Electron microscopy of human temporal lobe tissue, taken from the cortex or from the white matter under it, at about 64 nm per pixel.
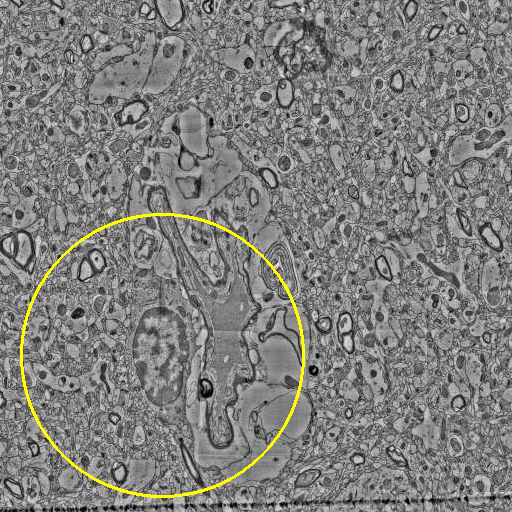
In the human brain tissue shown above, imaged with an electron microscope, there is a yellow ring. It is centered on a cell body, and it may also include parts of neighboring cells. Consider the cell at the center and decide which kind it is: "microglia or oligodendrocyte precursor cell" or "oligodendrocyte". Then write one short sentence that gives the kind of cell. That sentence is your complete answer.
This centered cell body is that of an oligodendrocyte.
